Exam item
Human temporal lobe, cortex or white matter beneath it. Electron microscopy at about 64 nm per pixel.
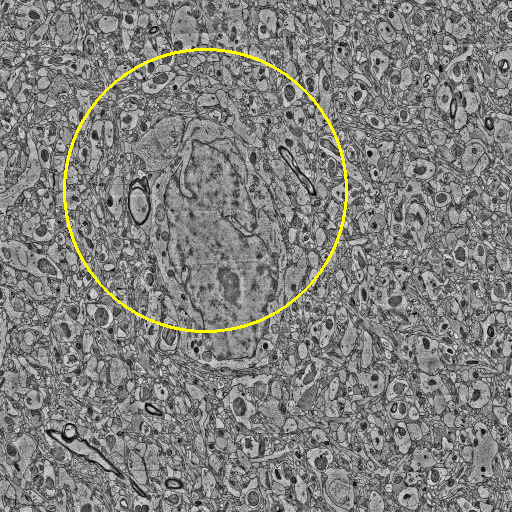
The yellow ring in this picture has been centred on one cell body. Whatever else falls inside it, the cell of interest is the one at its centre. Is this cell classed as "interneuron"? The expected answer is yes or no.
yes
